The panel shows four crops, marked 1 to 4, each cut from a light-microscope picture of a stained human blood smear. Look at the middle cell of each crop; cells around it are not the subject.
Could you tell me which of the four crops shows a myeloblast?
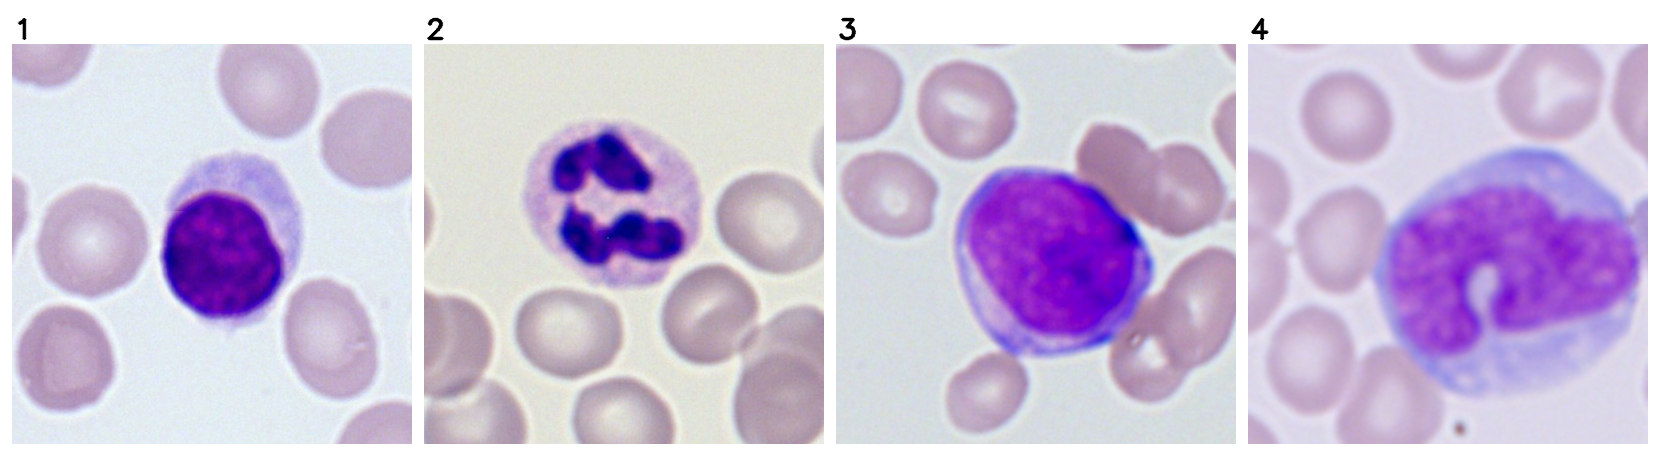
3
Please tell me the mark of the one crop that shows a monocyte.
4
